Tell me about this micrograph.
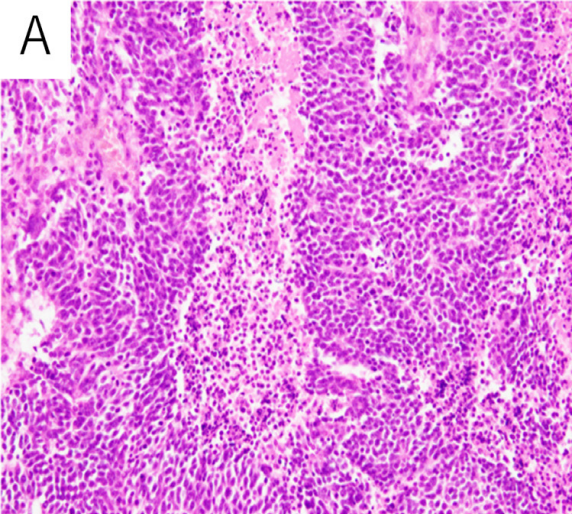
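Small round to oval tumor cells are packed in solid sheets and broad bands, with very little intervening stroma. Between the cell sheets lie pale pink, poorly cellular areas with scattered nuclear debris, consistent with necrosis.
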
